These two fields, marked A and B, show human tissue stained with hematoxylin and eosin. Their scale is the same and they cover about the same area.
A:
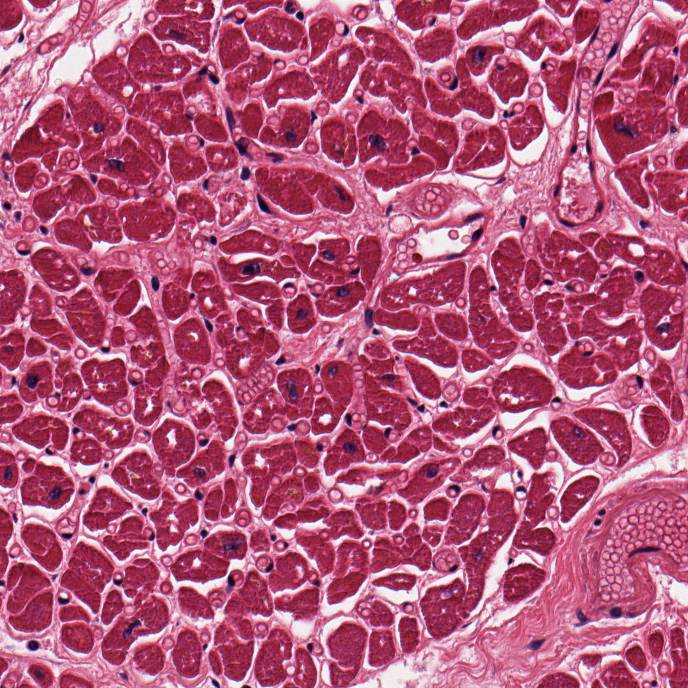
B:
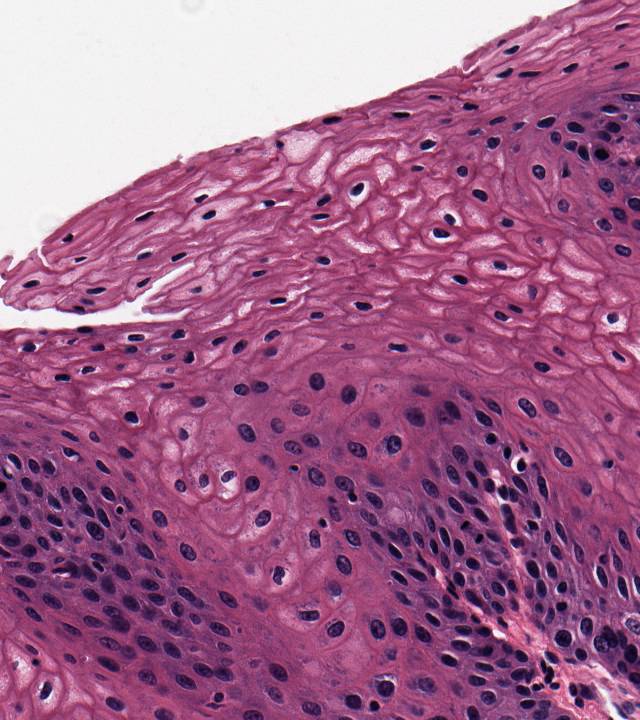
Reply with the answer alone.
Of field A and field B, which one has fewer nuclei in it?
A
